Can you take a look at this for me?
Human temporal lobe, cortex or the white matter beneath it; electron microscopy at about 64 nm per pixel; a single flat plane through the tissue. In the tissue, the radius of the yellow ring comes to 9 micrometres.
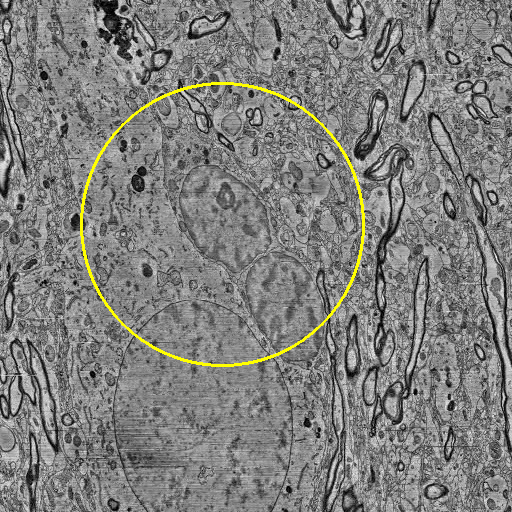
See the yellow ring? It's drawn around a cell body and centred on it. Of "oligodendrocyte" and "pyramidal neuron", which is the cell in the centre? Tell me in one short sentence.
The one in the centre is an oligodendrocyte.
